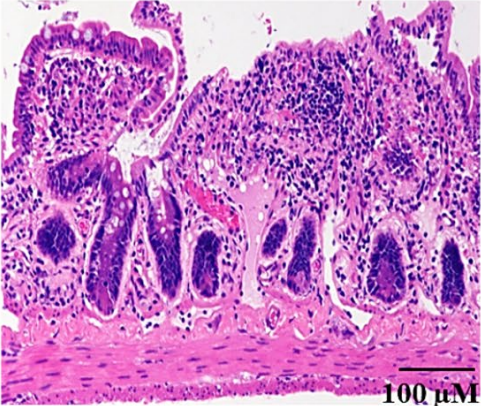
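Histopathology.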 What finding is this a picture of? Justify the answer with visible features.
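Dense sheets of small dark round nuclei crowd the mucosa above the glands. Mucosal projections are fused and blunted rather than slender.
Chronic inflammatory changes.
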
